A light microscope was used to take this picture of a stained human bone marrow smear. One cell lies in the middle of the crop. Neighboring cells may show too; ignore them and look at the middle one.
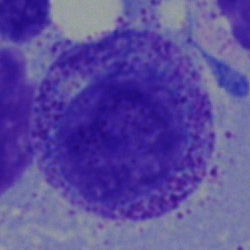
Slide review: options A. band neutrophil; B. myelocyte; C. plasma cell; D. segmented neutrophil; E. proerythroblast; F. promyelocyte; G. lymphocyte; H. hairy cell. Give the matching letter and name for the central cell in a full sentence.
The central cell is a myelocyte, which makes option B the right answer.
